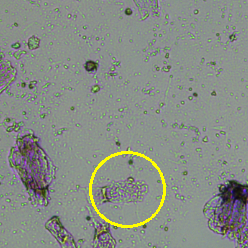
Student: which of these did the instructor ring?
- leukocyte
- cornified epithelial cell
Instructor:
The cell I ringed is a cornified epithelial cell.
